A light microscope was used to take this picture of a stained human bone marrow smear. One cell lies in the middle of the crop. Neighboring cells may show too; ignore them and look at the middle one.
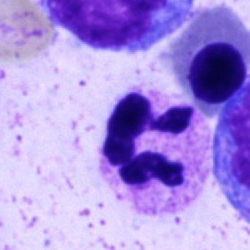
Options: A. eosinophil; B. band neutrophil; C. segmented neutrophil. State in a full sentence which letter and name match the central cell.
Option C holds up: the cell in the middle is a segmented neutrophil.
